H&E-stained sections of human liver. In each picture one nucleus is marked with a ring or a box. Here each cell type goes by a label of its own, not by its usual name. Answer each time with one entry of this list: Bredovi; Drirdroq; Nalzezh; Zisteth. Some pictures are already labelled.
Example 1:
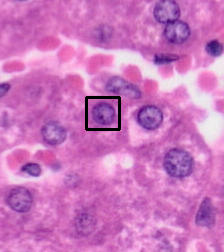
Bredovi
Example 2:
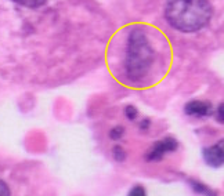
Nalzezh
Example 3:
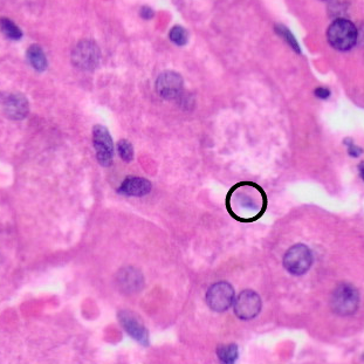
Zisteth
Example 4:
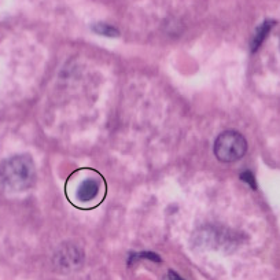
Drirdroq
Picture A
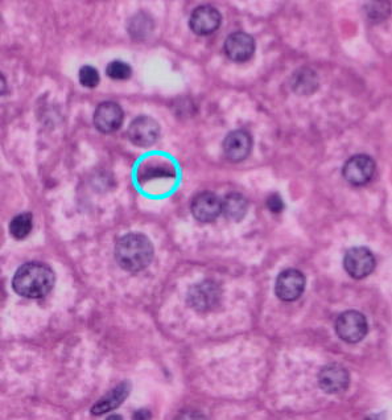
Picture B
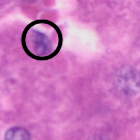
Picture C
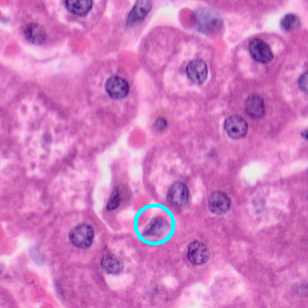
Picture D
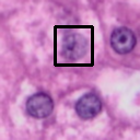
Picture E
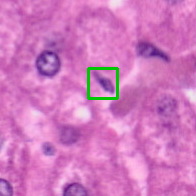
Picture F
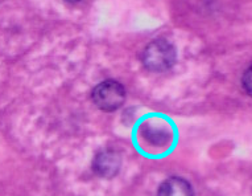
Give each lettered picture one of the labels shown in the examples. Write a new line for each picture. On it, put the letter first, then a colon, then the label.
A: Zisteth
B: Zisteth
C: Zisteth
D: Bredovi
E: Zisteth
F: Nalzezh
